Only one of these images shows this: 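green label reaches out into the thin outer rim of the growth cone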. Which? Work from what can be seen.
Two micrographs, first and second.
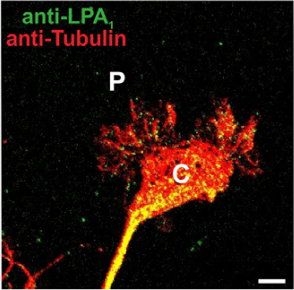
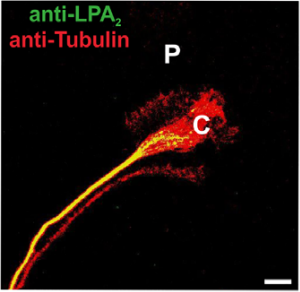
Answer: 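The first image. Second image: green appears only where it overlaps red along the shaft and center, giving yellow; the outer rim is red only. First image: small green dots lie scattered among the red outer extensions as well as in the yellow center.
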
